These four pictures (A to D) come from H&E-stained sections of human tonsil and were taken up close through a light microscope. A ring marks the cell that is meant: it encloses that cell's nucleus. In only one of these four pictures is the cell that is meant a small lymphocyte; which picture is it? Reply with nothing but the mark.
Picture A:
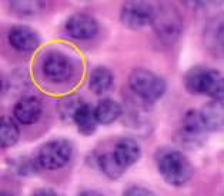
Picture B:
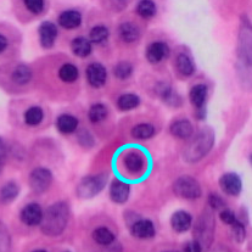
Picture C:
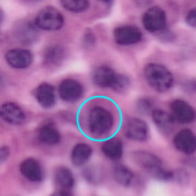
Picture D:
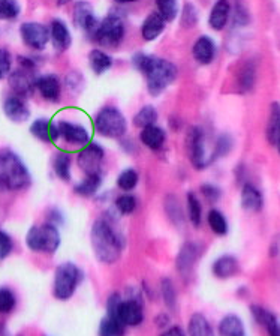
D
